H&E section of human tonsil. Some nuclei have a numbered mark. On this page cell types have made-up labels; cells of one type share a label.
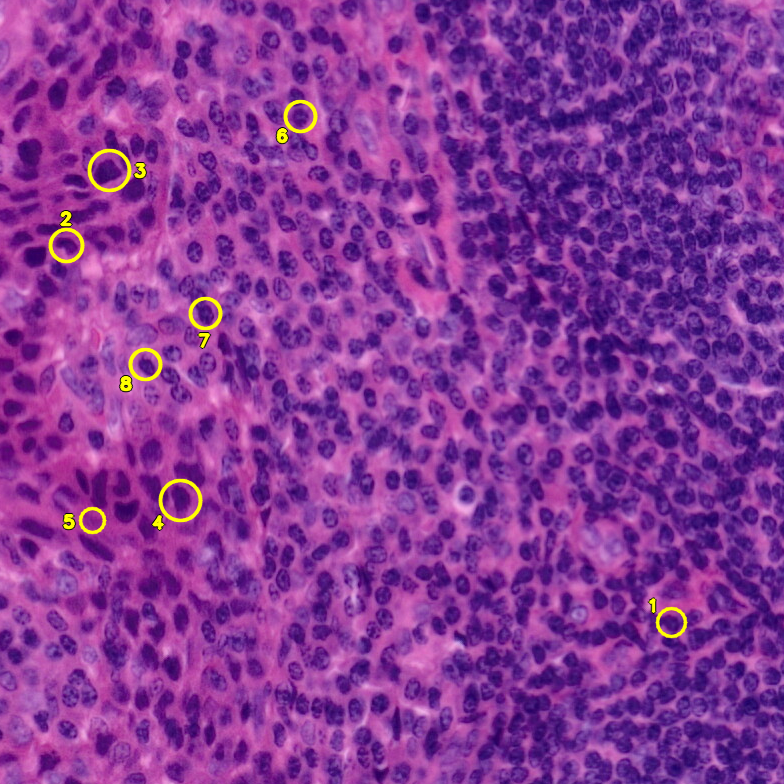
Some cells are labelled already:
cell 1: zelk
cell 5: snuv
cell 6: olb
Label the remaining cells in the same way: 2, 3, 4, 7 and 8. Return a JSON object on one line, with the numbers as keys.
{"2": "snuv", "3": "snuv", "4": "snuv", "7": "olb", "8": "olb"}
